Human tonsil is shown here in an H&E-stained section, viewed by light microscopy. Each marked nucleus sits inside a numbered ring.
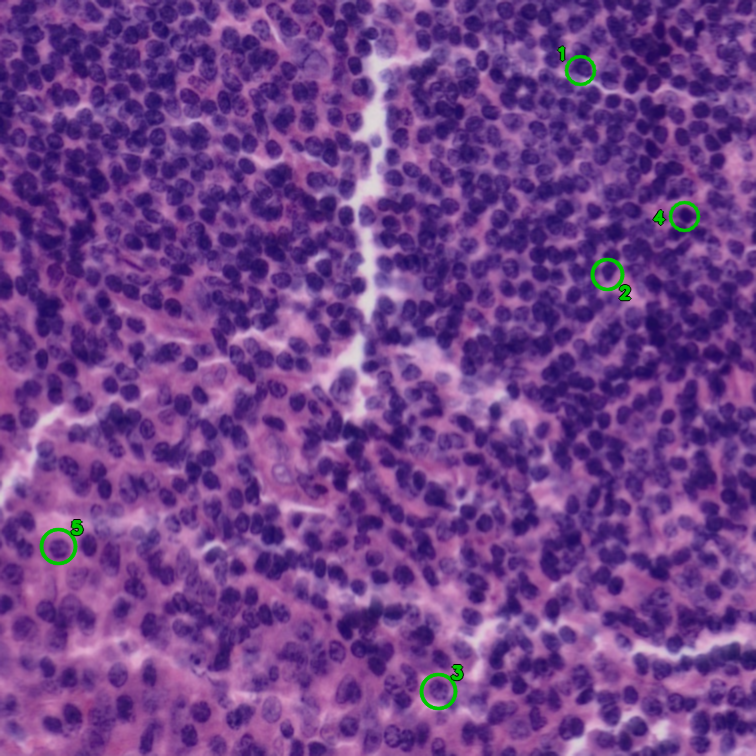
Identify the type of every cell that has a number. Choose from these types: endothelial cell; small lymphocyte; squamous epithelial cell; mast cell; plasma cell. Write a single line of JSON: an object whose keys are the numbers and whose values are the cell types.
{"1": "small lymphocyte", "2": "small lymphocyte", "3": "plasma cell", "4": "small lymphocyte", "5": "plasma cell"}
